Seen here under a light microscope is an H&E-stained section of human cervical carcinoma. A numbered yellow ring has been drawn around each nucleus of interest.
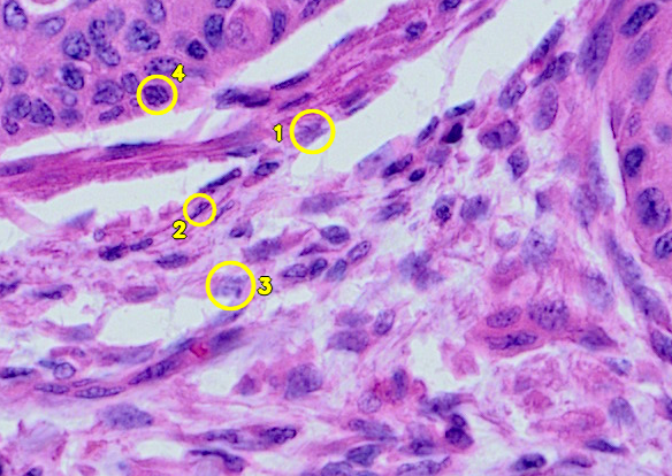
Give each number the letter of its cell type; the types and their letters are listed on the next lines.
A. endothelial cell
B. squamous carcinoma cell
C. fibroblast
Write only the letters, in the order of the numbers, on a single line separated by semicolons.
C; C; C; B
